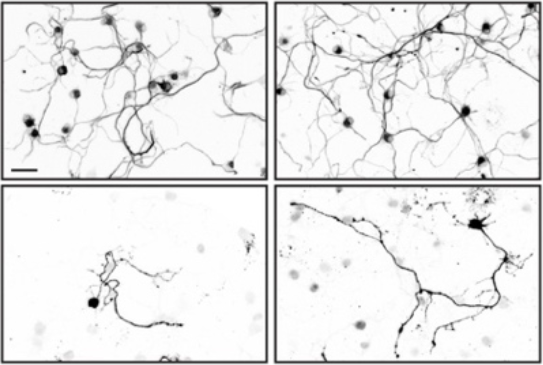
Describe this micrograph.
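These are dissociated neurons in culture, shown dark on a pale background. Each cell has a small, compact, rounded dark cell body from which one or a few long, thin neurites extend. In the upper images many cell bodies are scattered across the field and their neurites form a loose, criss-crossing network of fine lines with occasional branches. In the lower images only one or two cells stand out dark, with faint grey shadows of other cells behind them; their neurites are traced singly, some short and curled, others long and branching across much of the field. There is no tissue organisation, only isolated cells on a flat substrate.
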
